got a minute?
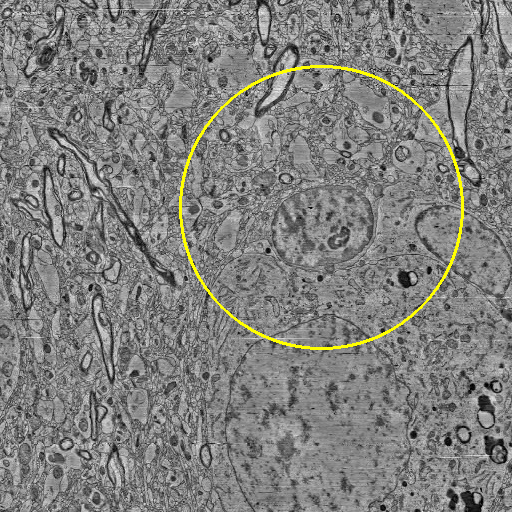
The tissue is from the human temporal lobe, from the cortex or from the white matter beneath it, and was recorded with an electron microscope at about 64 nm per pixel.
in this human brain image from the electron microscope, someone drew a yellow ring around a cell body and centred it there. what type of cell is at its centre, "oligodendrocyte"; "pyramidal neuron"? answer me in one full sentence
It's an oligodendrocyte at the middle of that yellow ring in the shot.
